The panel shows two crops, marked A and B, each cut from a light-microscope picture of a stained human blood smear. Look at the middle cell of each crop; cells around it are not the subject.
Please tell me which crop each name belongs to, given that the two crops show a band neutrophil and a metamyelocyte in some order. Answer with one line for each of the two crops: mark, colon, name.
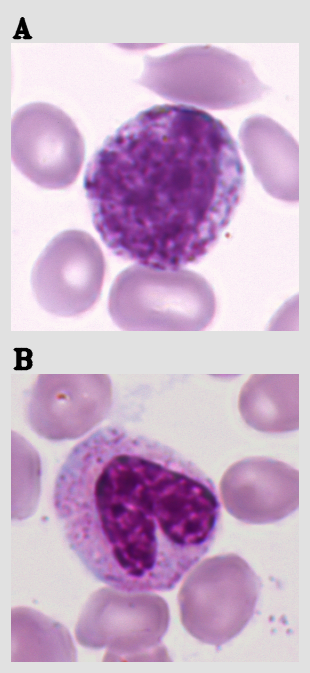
A: metamyelocyte
B: band neutrophil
